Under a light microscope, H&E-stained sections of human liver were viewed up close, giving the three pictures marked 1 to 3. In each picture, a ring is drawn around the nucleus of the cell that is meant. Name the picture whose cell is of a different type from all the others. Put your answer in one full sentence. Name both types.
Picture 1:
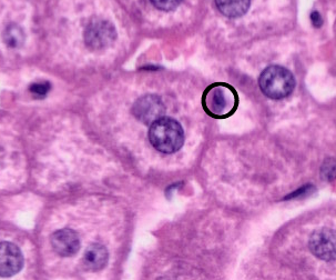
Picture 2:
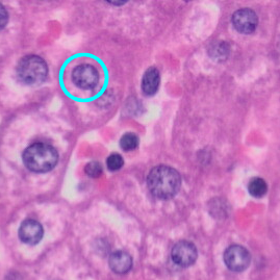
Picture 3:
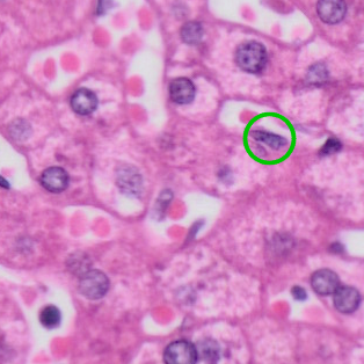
Picture 2 is the odd one out: it shows a hepatocyte, while the others show Kupffer cells.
